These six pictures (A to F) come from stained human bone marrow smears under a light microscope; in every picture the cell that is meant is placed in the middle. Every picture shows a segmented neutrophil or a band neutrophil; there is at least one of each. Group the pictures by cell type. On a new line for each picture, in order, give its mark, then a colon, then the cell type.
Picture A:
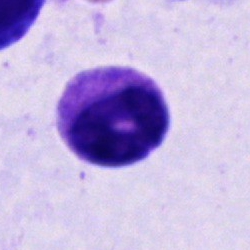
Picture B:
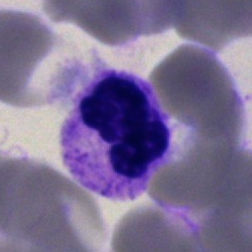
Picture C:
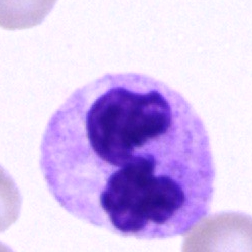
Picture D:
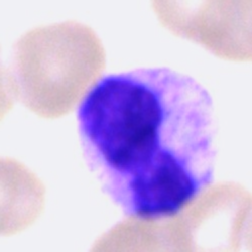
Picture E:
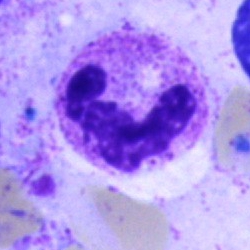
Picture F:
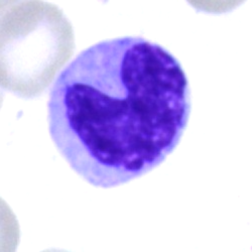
A: band neutrophil
B: segmented neutrophil
C: segmented neutrophil
D: segmented neutrophil
E: segmented neutrophil
F: band neutrophil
